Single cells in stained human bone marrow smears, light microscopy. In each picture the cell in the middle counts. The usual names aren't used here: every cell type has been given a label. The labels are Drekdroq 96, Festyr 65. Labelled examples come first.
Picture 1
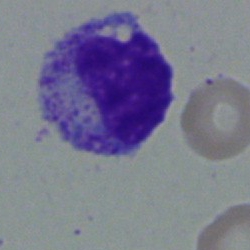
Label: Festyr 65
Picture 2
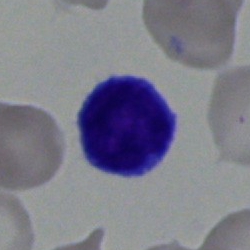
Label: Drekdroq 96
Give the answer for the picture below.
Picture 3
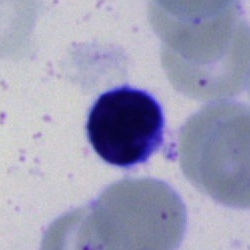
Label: Drekdroq 96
